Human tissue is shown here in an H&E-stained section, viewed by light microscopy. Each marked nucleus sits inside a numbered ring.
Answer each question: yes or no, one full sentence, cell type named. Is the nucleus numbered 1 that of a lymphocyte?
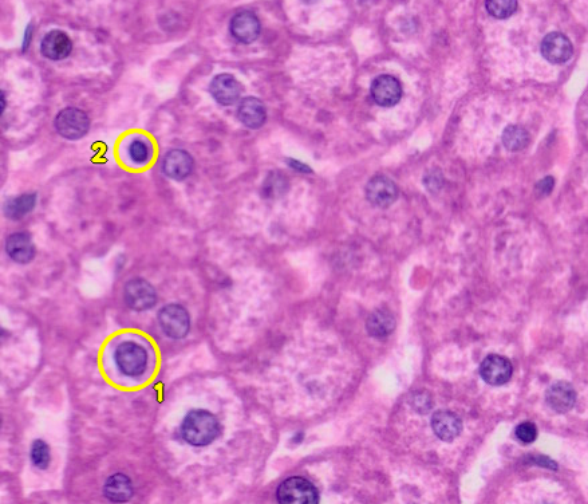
No, number 1 marks a hepatocyte rather than a lymphocyte.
